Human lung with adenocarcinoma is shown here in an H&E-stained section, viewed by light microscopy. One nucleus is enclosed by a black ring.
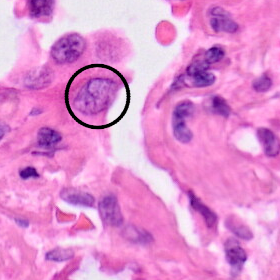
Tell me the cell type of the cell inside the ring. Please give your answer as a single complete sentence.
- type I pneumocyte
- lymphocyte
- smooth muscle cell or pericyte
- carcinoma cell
In this field of tissue, the cell inside the ring is a carcinoma cell.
